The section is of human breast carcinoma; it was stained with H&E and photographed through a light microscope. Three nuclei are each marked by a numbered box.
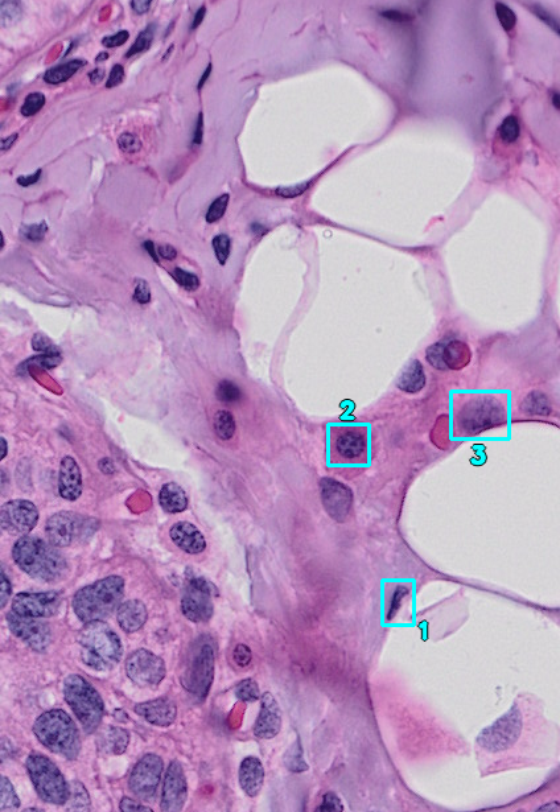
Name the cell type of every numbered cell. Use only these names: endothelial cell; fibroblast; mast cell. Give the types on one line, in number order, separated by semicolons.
fibroblast; mast cell; endothelial cell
